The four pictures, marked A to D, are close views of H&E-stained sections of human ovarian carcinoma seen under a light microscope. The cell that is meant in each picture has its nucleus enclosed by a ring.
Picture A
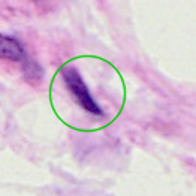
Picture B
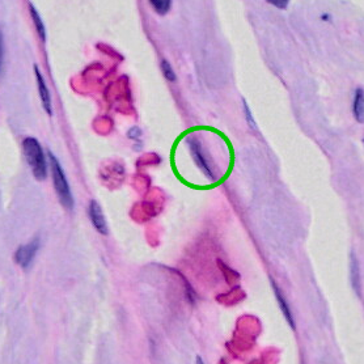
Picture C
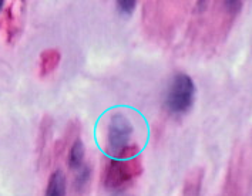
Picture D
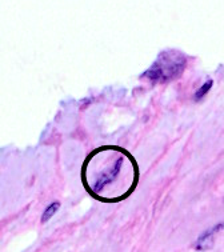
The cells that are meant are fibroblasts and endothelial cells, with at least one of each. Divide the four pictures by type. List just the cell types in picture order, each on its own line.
fibroblast
endothelial cell
endothelial cell
fibroblast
